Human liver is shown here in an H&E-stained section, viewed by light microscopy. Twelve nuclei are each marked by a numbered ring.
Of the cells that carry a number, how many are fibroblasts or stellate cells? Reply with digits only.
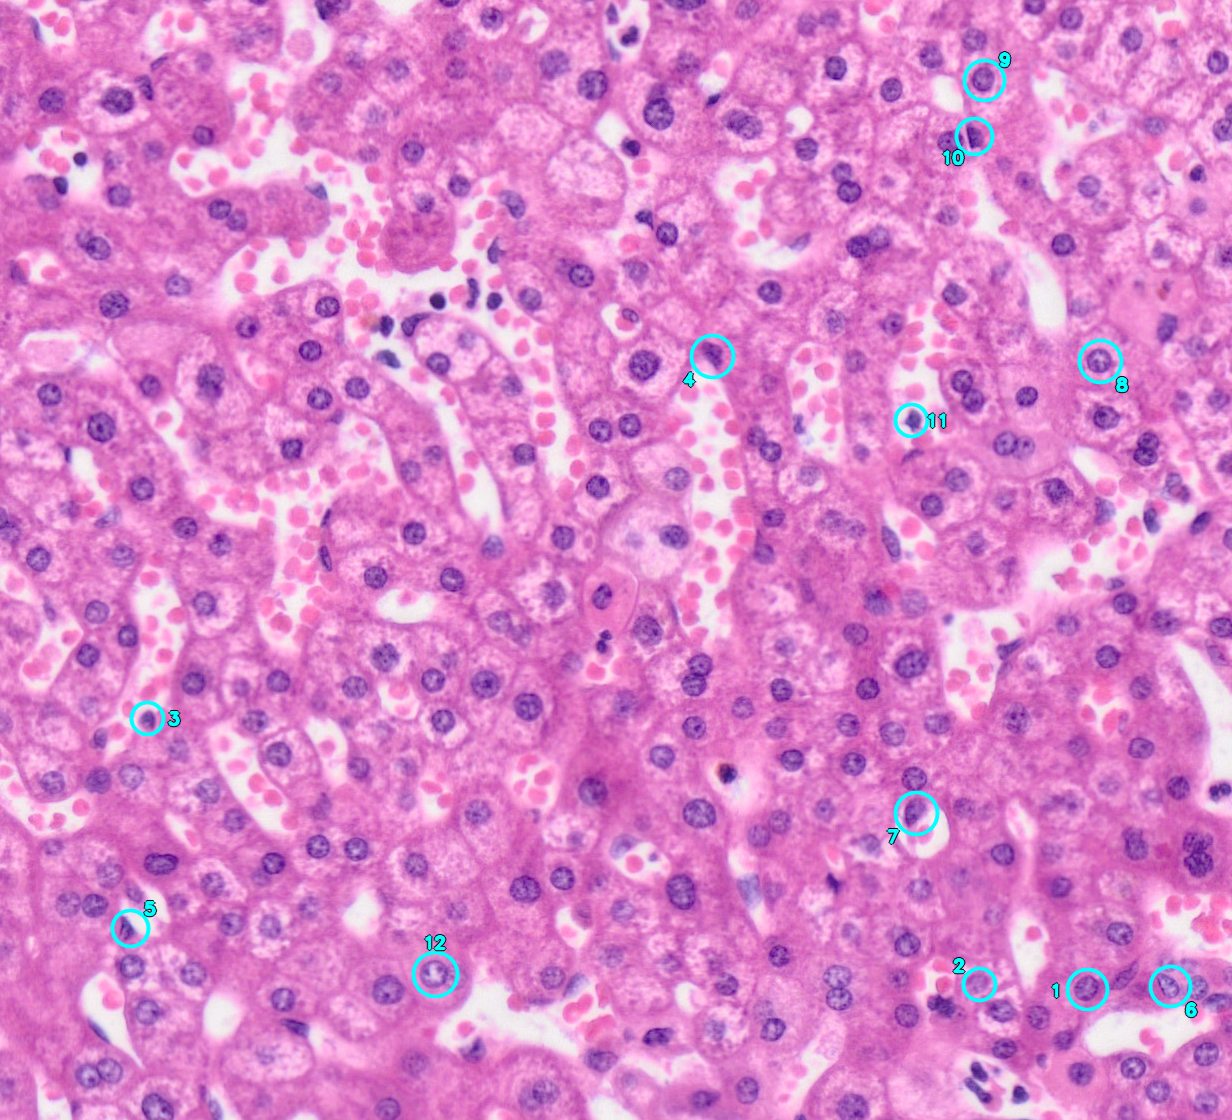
1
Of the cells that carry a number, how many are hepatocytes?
5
